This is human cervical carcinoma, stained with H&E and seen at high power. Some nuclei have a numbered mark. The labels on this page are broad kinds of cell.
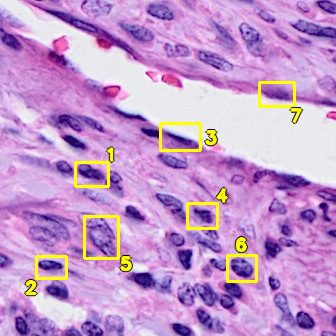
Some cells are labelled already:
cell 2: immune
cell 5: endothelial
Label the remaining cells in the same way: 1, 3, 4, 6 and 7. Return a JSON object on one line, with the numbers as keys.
{"1": "immune", "3": "endothelial", "4": "immune", "6": "immune", "7": "endothelial"}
